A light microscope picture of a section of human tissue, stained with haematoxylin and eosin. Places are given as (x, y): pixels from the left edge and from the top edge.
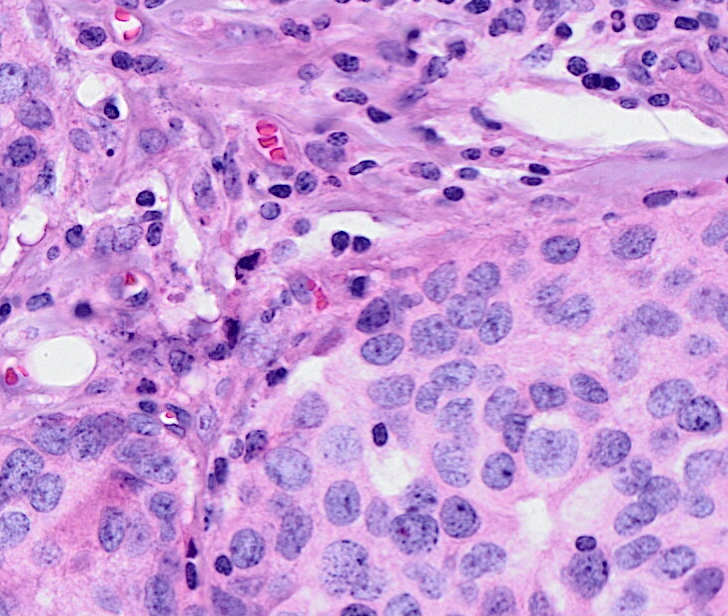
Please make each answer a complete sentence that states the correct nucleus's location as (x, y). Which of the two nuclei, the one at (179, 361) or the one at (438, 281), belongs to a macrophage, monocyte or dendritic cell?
Of the pair, the nucleus positioned at (179, 361) is that of a macrophage, monocyte or dendritic cell.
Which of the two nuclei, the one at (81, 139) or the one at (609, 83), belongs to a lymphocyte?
So, of the two, the nucleus at (609, 83) is the one belonging to a lymphocyte.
